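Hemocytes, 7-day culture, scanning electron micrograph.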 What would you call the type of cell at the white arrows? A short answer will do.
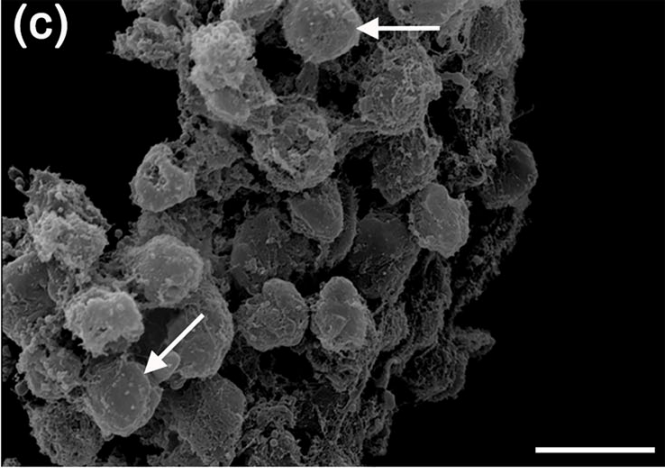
hyalinocyte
